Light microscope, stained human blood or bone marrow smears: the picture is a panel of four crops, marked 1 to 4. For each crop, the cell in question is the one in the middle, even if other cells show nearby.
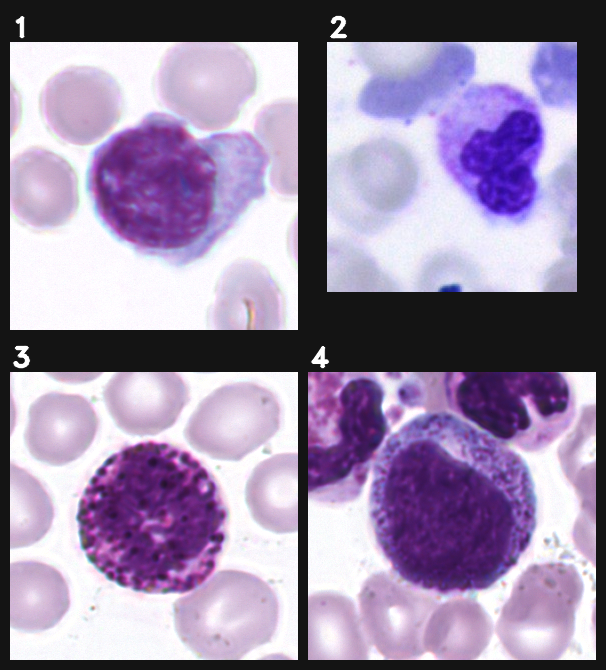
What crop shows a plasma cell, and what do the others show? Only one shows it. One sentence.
Crop 1 holds a plasma cell at its centre, while crop 2 is a neutrophil, crop 3 is a basophil and crop 4 is a promyelocyte.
